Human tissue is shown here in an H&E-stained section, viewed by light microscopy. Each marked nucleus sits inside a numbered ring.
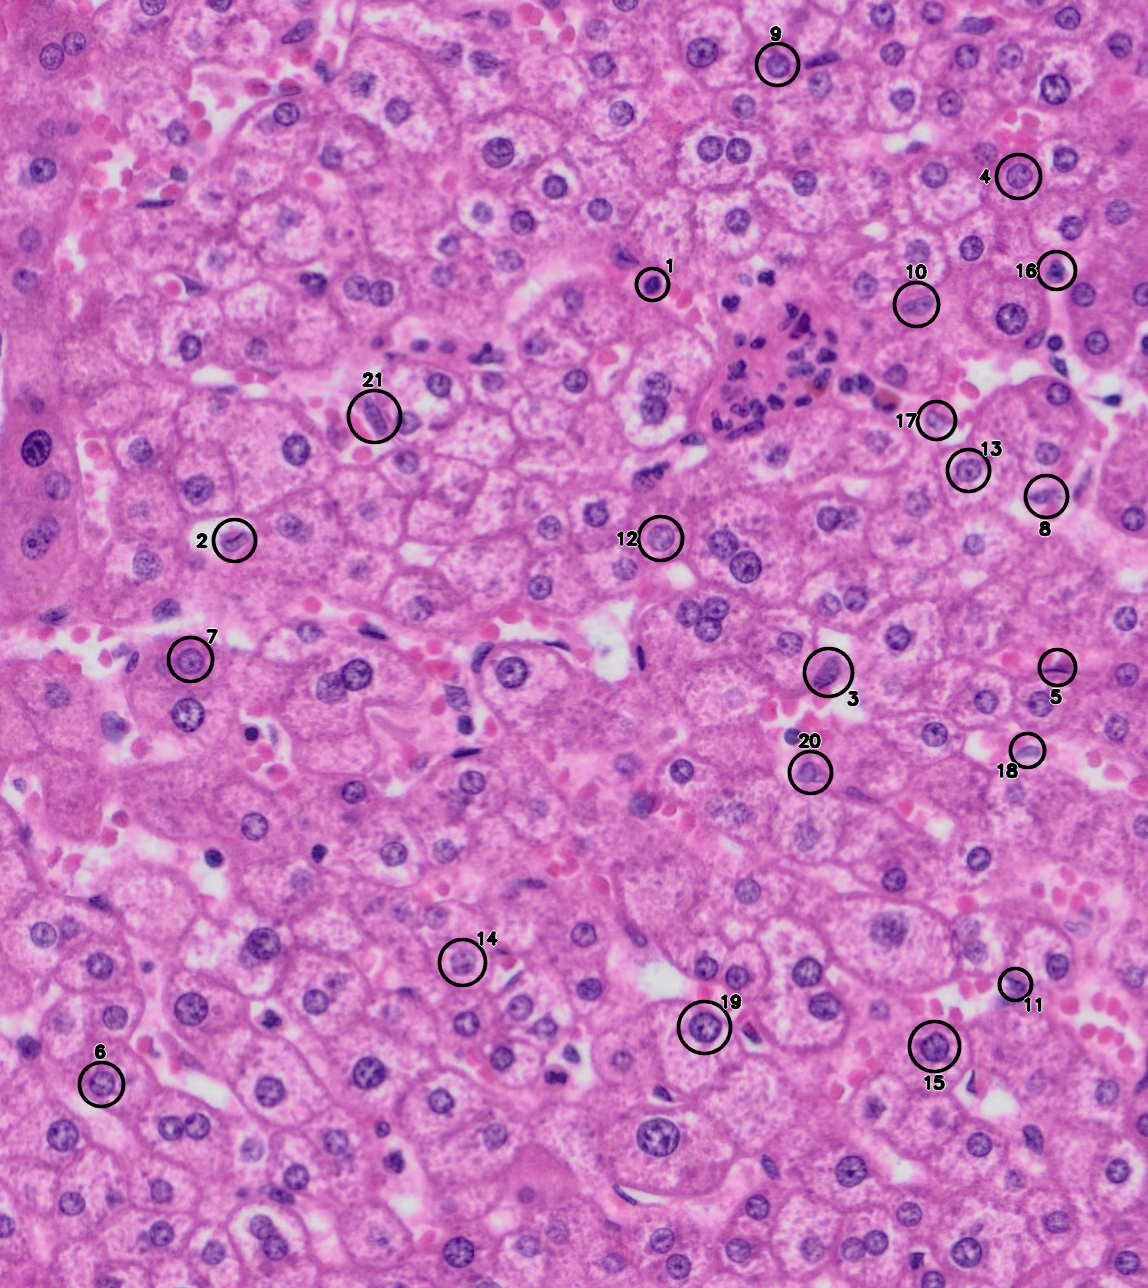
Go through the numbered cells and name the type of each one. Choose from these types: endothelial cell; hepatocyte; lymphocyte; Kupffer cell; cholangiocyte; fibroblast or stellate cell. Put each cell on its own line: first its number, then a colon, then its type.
1: lymphocyte
2: Kupffer cell
3: Kupffer cell
4: hepatocyte
5: endothelial cell
6: hepatocyte
7: hepatocyte
8: Kupffer cell
9: hepatocyte
10: Kupffer cell
11: fibroblast or stellate cell
12: hepatocyte
13: hepatocyte
14: hepatocyte
15: hepatocyte
16: lymphocyte
17: Kupffer cell
18: endothelial cell
19: hepatocyte
20: Kupffer cell
21: Kupffer cell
